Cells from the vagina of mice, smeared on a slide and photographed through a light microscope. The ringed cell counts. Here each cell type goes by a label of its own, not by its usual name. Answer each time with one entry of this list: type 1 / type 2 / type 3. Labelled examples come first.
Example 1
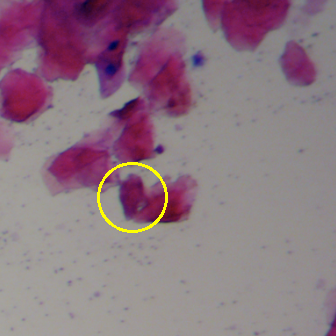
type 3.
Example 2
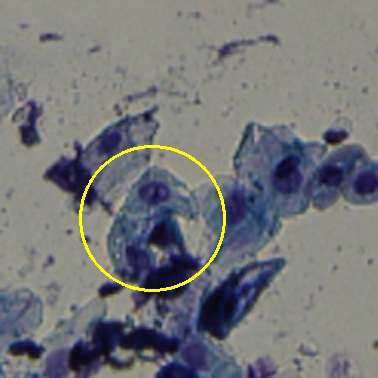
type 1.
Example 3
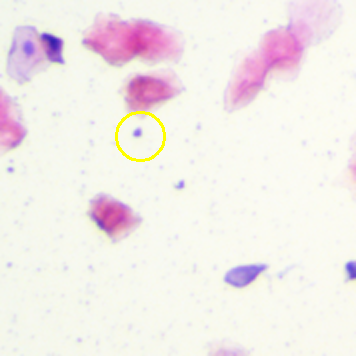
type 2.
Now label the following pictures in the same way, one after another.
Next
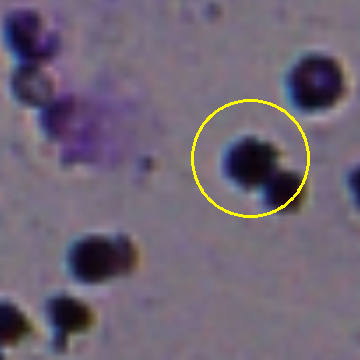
type 2.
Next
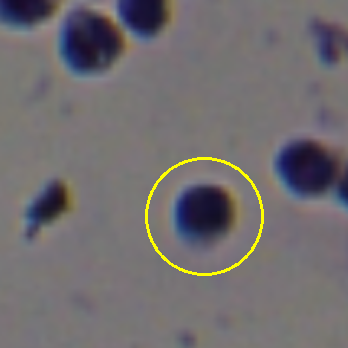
type 2.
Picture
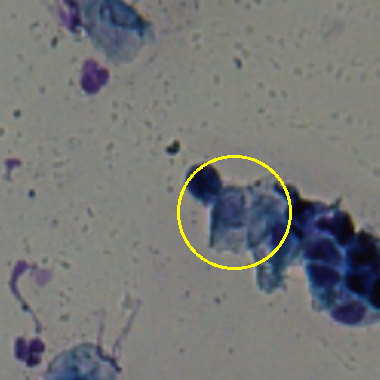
type 1.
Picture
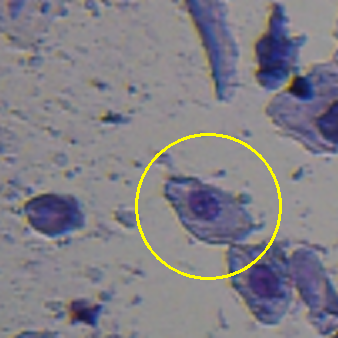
type 1.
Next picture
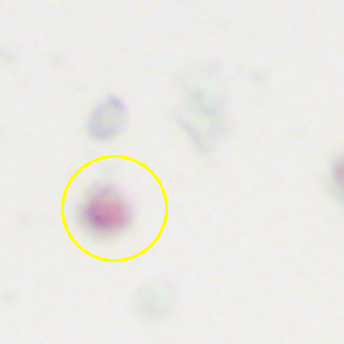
type 2.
